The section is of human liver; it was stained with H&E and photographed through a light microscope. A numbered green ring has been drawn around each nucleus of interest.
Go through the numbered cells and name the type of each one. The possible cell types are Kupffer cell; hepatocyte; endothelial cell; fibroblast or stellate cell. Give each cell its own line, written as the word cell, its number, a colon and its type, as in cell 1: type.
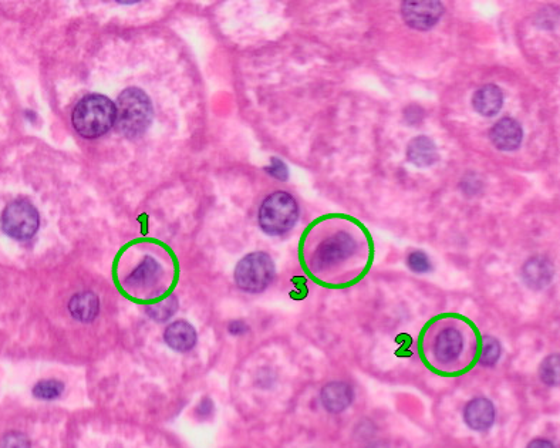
cell 1: endothelial cell
cell 2: hepatocyte
cell 3: Kupffer cell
